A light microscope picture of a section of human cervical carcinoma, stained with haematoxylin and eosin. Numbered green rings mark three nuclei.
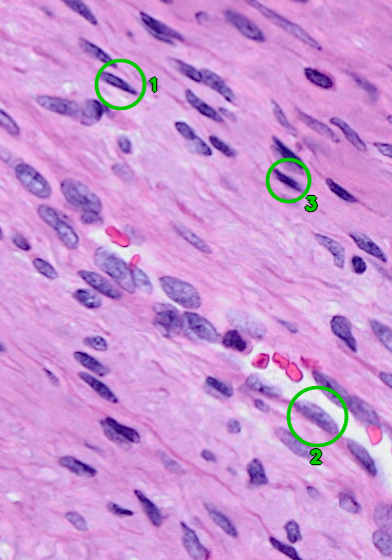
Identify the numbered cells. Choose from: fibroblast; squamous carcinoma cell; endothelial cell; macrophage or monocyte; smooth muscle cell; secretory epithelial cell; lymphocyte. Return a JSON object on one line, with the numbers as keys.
{"1": "fibroblast", "2": "endothelial cell", "3": "fibroblast"}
